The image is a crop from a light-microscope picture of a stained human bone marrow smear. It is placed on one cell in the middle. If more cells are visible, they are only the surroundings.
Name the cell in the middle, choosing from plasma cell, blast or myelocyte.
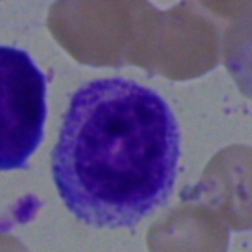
myelocyte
